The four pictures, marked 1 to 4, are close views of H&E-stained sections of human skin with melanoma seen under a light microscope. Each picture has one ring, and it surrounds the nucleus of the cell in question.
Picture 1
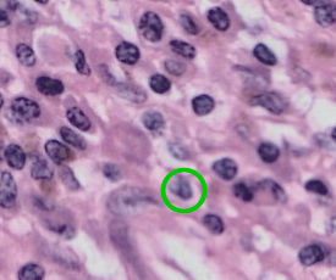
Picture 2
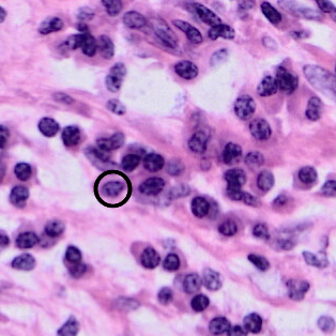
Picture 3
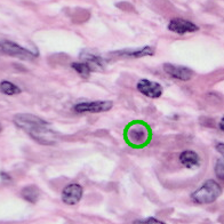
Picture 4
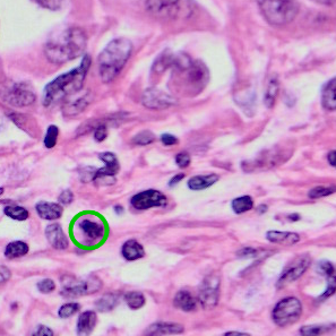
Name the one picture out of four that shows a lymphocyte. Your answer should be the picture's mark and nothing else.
1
